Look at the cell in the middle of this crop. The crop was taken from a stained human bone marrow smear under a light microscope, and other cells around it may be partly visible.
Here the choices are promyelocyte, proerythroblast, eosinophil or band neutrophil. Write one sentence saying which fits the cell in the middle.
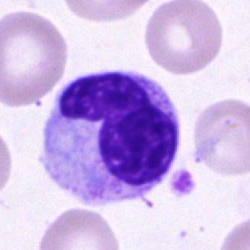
Answering briefly, the cell in the middle is a band neutrophil.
